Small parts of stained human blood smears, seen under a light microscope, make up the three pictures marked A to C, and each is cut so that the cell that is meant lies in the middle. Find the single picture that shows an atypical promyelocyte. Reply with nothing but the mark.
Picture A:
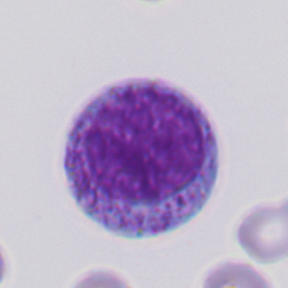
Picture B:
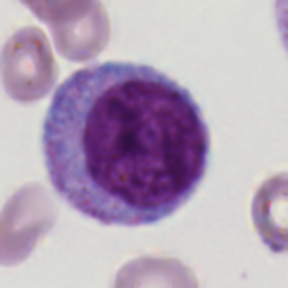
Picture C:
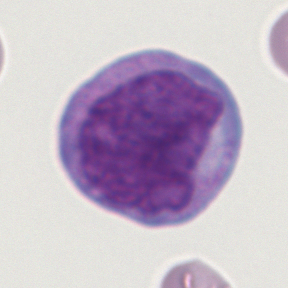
C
